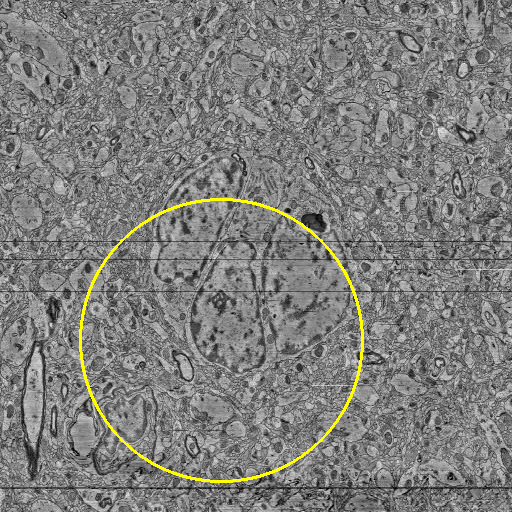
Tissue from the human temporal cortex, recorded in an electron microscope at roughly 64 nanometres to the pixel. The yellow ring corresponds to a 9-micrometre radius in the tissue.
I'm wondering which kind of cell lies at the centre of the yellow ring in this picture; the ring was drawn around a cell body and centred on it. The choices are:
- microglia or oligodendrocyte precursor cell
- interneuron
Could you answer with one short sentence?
At the centre of the ring lies a microglial cell or oligodendrocyte precursor cell.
